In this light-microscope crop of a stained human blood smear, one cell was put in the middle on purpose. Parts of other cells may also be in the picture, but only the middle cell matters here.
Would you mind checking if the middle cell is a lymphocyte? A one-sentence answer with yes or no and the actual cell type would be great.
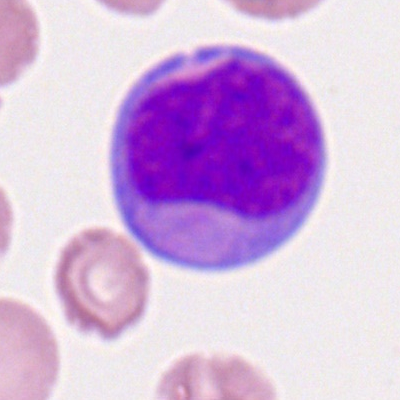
No, the middle cell is classified as a myeloblast instead of a lymphocyte.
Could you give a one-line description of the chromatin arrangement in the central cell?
The chromatin pattern is fine and free of coarse clumps.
